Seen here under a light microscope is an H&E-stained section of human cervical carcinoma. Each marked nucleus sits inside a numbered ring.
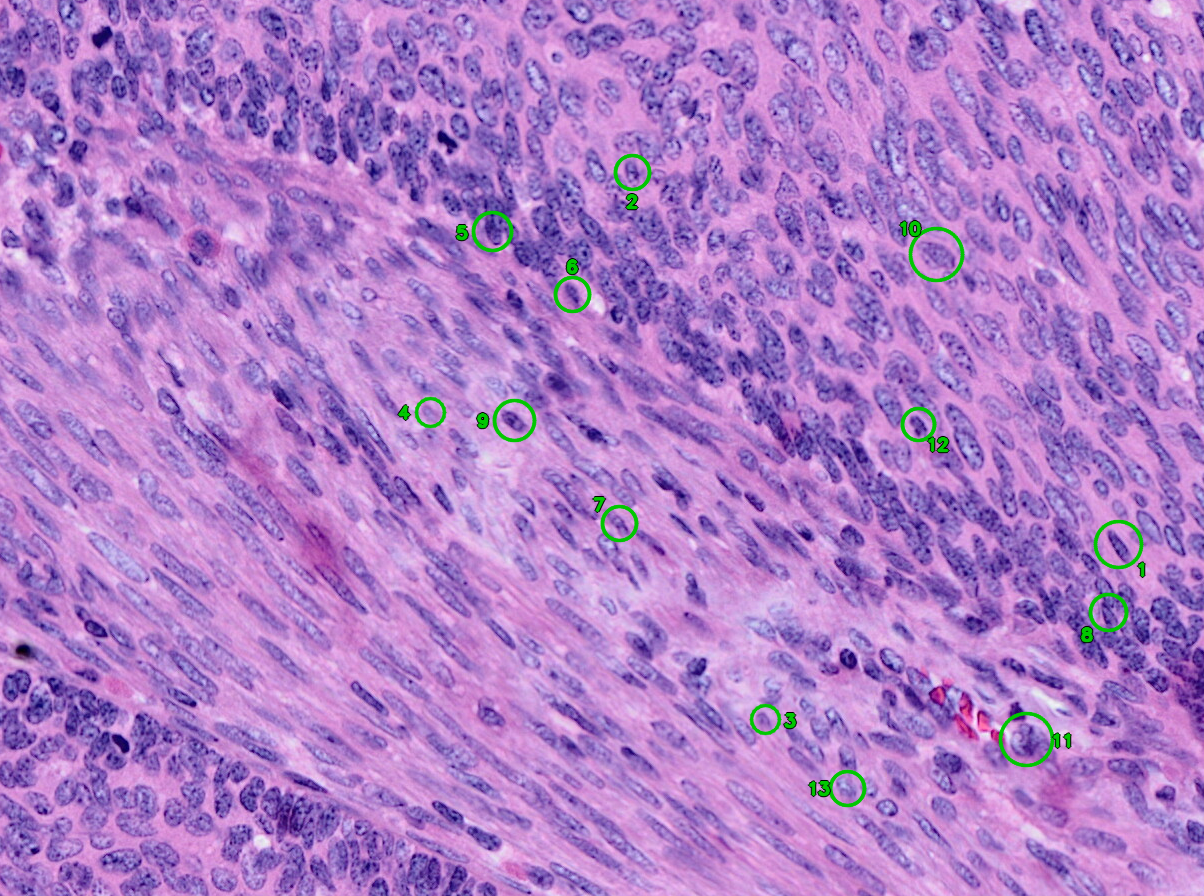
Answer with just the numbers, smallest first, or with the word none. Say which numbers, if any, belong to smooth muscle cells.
3, 4, 7, 13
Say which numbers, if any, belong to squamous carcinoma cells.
1, 2, 5, 6, 8, 10, 12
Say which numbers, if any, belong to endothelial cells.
11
